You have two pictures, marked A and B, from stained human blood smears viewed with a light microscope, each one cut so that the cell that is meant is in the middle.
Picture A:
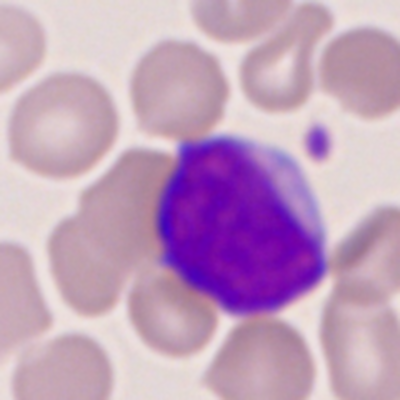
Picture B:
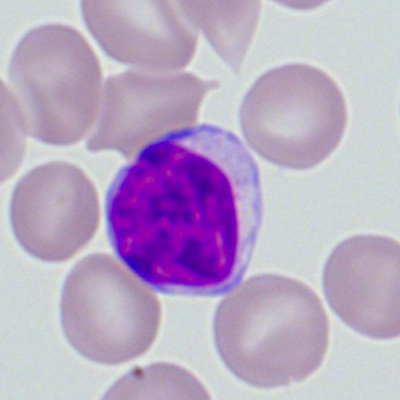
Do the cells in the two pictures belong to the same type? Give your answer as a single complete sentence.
No; the cell in picture A is a myeloblast, while the one in picture B is a lymphocyte.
